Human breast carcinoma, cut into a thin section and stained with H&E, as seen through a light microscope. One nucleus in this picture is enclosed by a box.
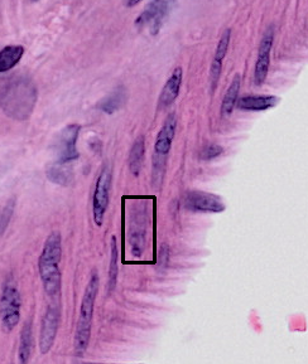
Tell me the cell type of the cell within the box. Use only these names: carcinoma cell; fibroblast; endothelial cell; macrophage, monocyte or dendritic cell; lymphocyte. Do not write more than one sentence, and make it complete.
Microscopically, the cell within the box is categorized as an endothelial cell.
